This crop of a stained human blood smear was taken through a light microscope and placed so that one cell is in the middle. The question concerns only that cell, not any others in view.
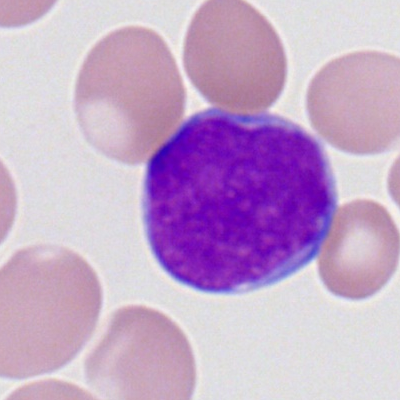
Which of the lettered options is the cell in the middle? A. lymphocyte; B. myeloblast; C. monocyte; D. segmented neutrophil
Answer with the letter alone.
B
